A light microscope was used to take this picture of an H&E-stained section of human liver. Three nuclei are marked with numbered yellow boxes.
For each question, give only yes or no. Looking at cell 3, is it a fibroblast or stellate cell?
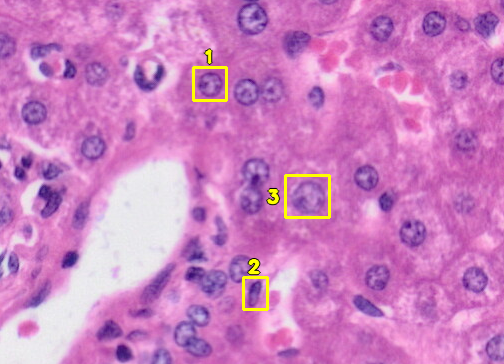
no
